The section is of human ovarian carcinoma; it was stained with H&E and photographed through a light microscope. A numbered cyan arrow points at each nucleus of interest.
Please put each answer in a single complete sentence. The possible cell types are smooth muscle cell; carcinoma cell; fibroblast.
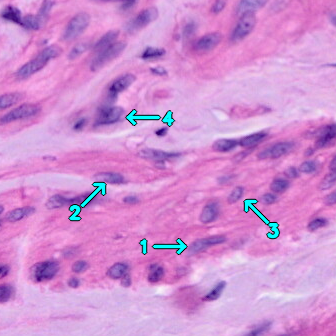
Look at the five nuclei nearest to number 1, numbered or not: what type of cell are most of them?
Smooth muscle cells account for more than half of the five nuclei nearest to number 1.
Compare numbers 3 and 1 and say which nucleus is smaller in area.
The smaller nucleus is 3, and 1 covers roughly 2 times its area.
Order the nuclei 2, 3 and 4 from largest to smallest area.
By area, largest first, they run 4, 2, 3.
